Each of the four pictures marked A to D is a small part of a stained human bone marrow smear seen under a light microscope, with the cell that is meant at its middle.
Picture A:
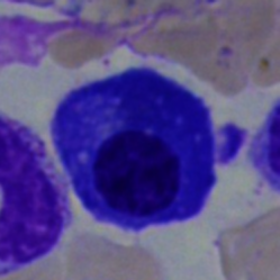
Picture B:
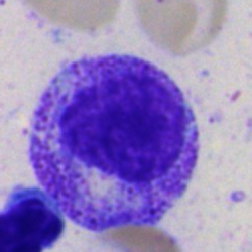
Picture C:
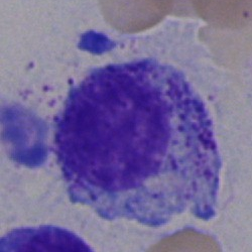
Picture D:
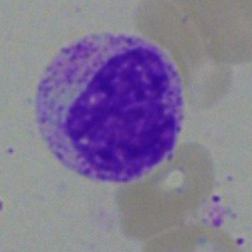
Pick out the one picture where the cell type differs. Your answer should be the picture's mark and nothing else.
A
